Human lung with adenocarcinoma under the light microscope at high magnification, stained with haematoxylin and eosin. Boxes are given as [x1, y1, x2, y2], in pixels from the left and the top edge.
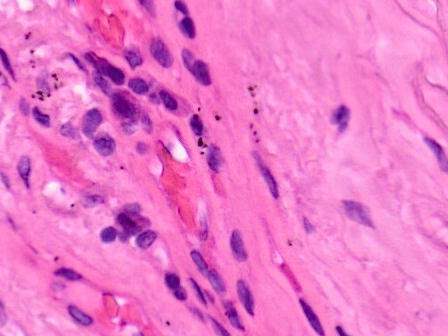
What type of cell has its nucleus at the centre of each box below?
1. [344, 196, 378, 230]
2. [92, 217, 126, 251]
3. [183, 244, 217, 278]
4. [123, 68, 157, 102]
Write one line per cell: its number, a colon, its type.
1: fibroblast
2: lymphocyte
3: endothelial cell
4: lymphocyte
